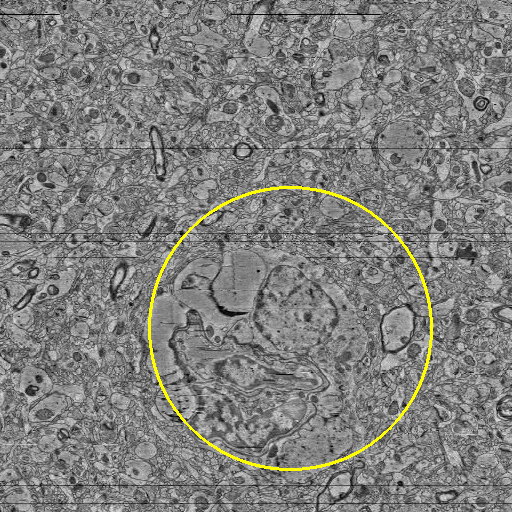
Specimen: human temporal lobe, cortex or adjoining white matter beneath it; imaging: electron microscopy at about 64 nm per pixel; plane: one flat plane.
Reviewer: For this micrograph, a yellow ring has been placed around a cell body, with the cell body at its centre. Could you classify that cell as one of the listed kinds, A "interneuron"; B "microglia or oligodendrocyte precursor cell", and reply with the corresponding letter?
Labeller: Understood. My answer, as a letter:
B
